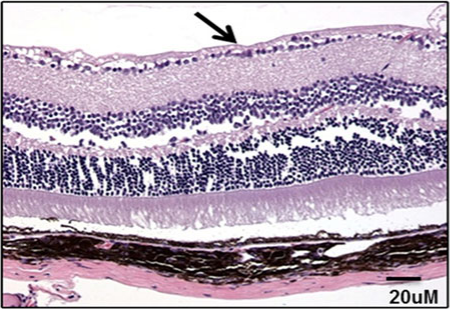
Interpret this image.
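At the top, along the inner surface, a thin row of scattered purple nuclei marks the ganglion cell layer, beneath a pale pink fibrous layer. Below this a broad pale pink inner plexiform layer separates it from a band of densely packed purple nuclei of the inner nuclear layer. A thin pale outer plexiform layer follows, then a thick band of closely crowded dark nuclei forming the outer nuclear layer, and beyond it a pink band of vertically striated photoreceptor segments. Outside the retina lies a black-brown pigmented layer and a pink fibrous coat of the eye wall.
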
